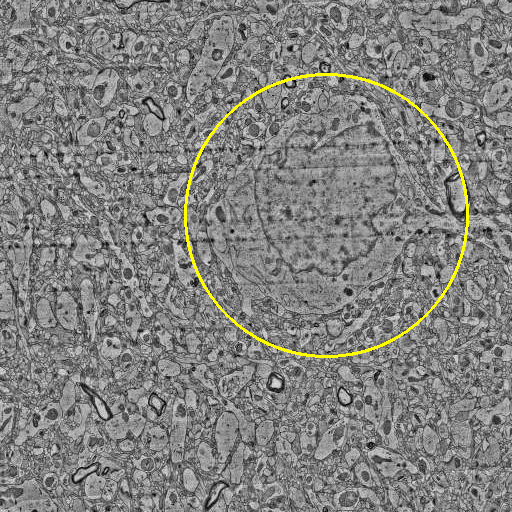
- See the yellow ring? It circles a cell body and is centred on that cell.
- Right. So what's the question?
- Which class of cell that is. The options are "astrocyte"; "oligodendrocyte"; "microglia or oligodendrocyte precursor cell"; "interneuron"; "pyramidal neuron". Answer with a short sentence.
The centre of the ring holds an interneuron.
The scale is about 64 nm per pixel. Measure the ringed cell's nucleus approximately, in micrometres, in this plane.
In this plane, roughly 11 by 9 micrometres.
